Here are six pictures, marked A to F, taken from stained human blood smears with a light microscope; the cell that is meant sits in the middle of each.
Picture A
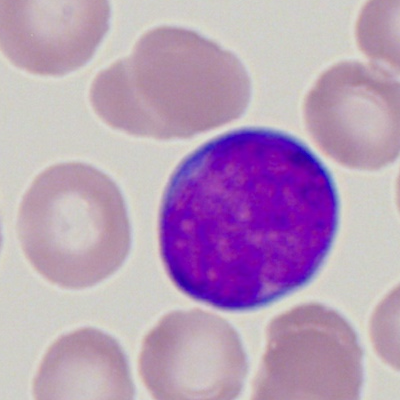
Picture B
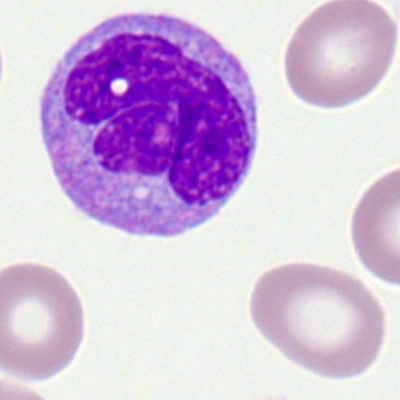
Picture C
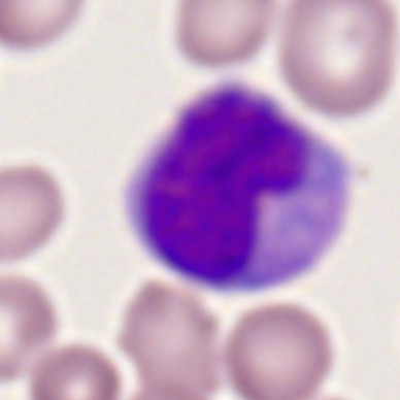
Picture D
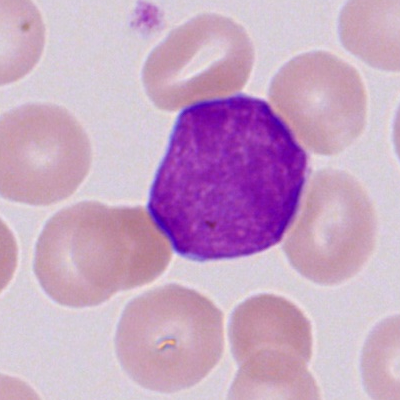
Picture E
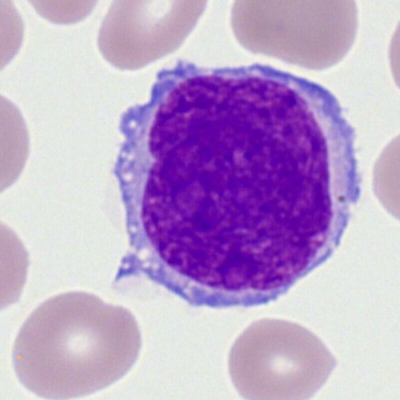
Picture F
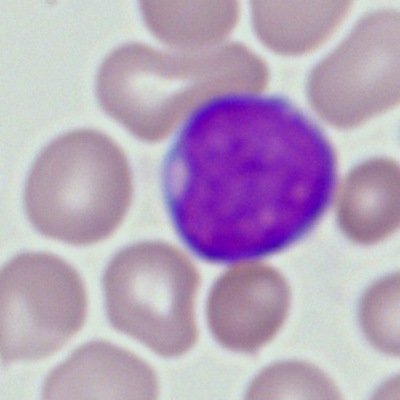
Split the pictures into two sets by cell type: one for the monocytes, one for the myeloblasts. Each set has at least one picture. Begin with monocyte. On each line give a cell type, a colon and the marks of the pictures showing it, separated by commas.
monocyte: B, C
myeloblast: A, D, E, F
